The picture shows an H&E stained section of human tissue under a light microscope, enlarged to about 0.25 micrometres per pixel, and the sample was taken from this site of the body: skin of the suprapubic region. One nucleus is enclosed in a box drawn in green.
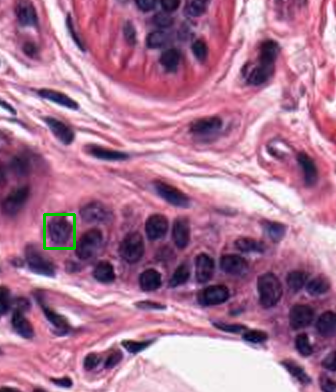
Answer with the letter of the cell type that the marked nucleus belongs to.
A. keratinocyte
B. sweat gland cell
B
